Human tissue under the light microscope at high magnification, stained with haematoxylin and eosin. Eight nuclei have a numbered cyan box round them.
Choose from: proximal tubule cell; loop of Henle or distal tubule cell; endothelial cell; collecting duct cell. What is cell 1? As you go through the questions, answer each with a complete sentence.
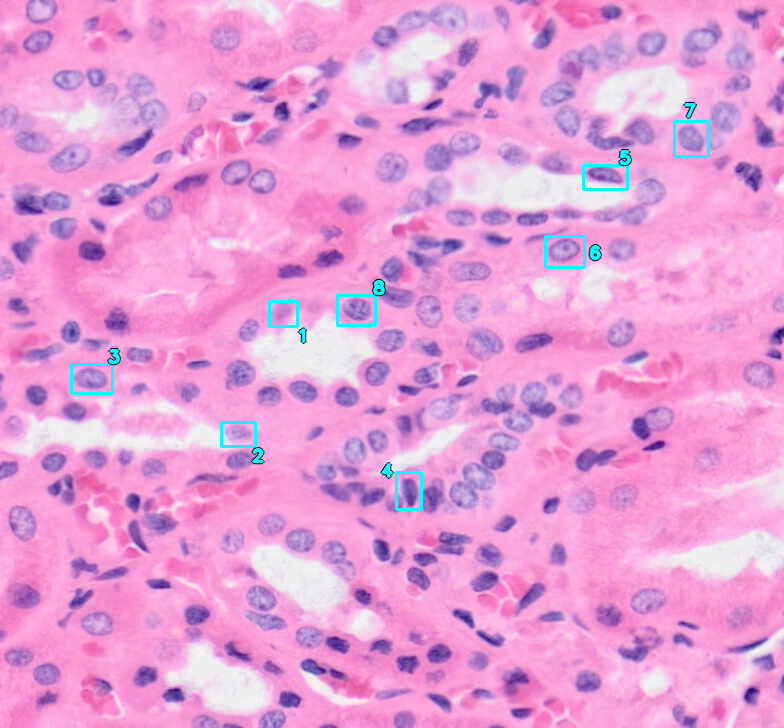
The cell pointed out by number 1 is a loop of Henle or distal tubule cell.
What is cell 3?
The cell bearing label 3 corresponds to a loop of Henle or distal tubule cell.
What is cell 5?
Corresponding to a loop of Henle or distal tubule cell is the cell labelled 5.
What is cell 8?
The cell numbered 8 has been identified as a loop of Henle or distal tubule cell.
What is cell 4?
Identified by the number 4, the cell is a collecting duct cell.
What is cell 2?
The cell numbered 2 represents a loop of Henle or distal tubule cell.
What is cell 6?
At number 6, the marked cell is a proximal tubule cell.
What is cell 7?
To a collecting duct cell belongs the nucleus marked 7.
